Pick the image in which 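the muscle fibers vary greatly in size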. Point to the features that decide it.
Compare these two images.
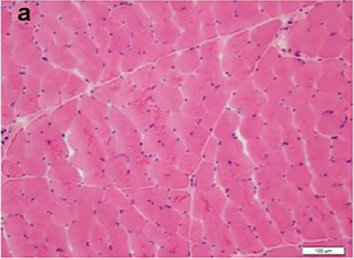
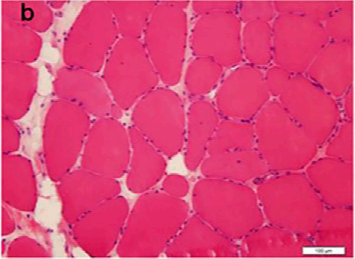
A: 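The second image. Second image: rounded fibers of very unequal size with wide pale spaces between them. First image: closely packed polygonal fibers of fairly even size.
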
